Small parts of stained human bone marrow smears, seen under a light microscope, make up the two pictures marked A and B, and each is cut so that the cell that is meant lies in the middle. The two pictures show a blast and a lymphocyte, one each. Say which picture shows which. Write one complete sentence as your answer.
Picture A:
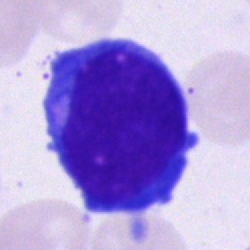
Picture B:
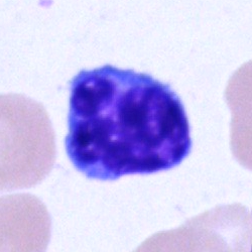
It is picture A that shows a blast, and picture B that shows a lymphocyte.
